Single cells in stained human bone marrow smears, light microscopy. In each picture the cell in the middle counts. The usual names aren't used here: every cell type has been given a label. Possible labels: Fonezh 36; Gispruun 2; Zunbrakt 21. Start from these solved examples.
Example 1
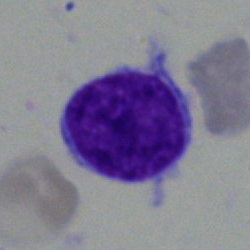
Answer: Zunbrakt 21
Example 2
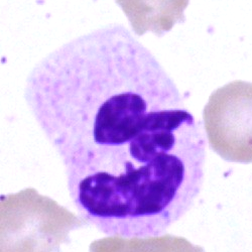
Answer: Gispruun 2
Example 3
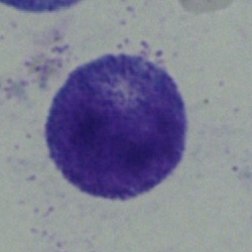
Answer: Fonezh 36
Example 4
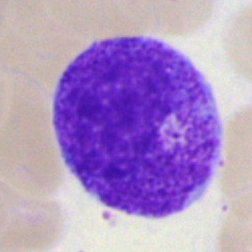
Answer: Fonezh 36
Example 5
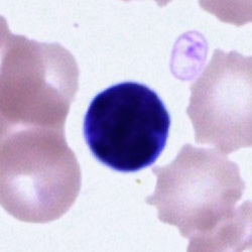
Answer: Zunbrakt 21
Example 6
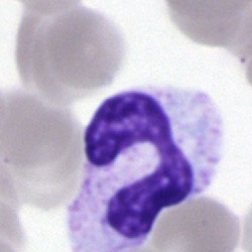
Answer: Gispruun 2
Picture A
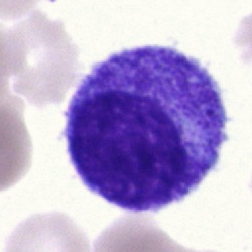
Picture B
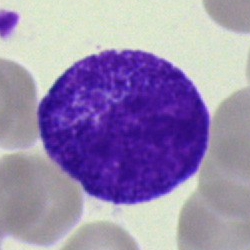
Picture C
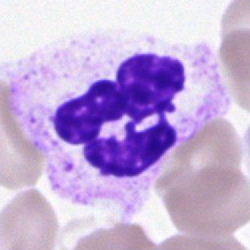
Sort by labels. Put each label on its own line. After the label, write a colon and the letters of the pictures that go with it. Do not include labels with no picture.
Fonezh 36: A, B
Gispruun 2: C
